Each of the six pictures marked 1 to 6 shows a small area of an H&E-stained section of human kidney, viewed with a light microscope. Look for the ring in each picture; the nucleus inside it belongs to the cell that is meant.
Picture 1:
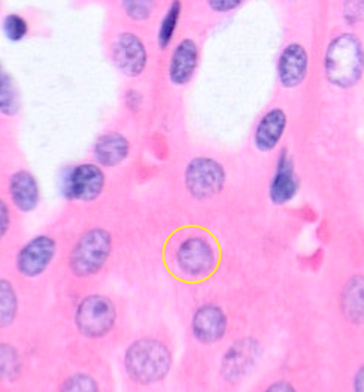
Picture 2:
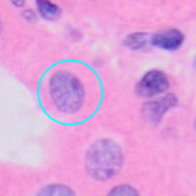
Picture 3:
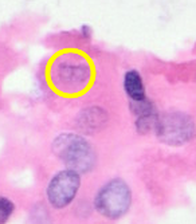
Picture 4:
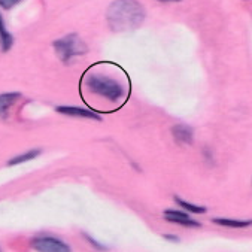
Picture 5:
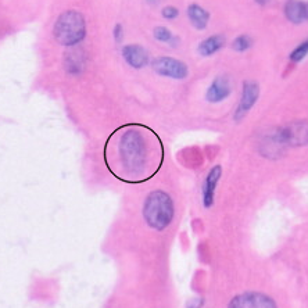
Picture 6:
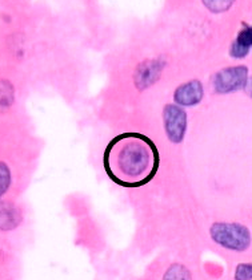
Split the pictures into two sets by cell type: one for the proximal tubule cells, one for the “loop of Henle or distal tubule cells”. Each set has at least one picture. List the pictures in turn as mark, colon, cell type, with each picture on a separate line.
1: proximal tubule cell
2: loop of Henle or distal tubule cell
3: proximal tubule cell
4: loop of Henle or distal tubule cell
5: proximal tubule cell
6: proximal tubule cell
